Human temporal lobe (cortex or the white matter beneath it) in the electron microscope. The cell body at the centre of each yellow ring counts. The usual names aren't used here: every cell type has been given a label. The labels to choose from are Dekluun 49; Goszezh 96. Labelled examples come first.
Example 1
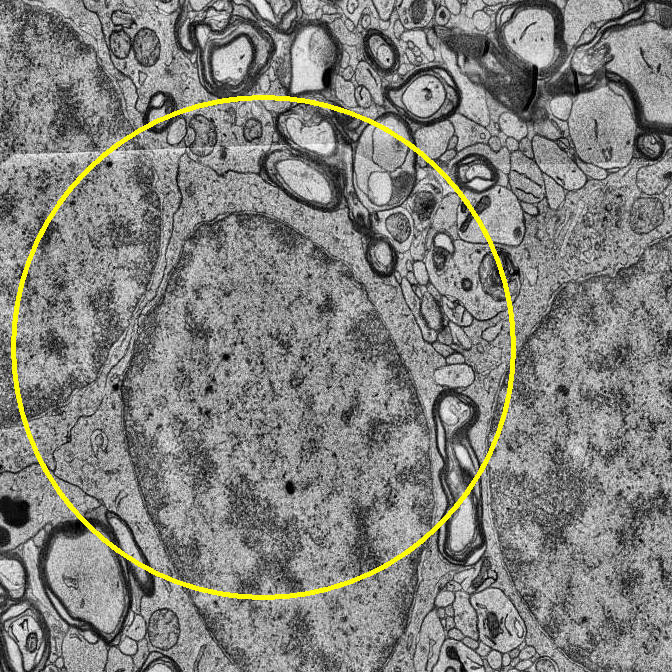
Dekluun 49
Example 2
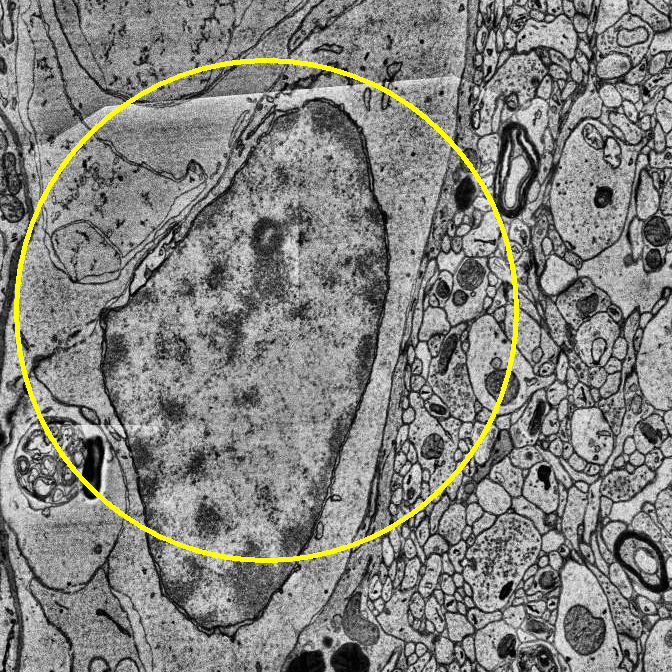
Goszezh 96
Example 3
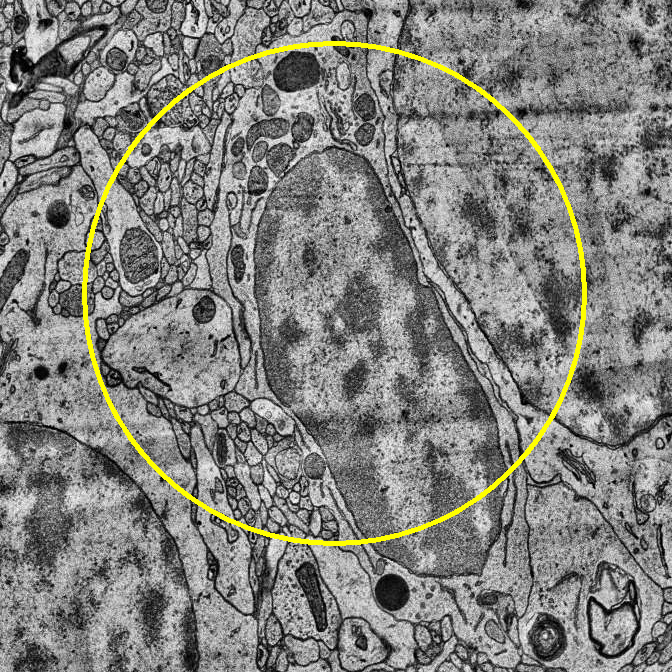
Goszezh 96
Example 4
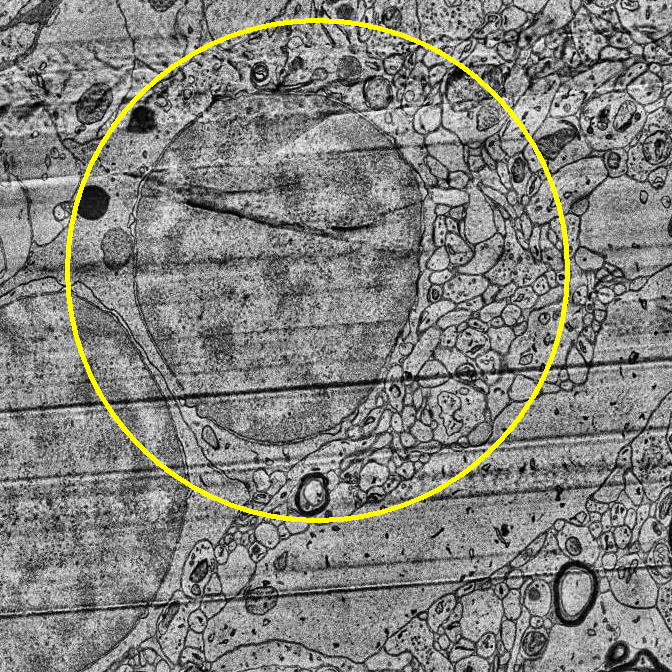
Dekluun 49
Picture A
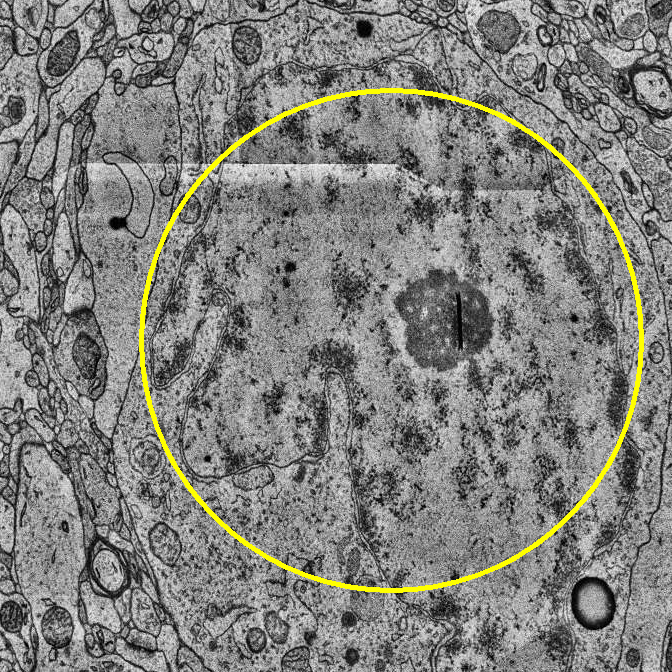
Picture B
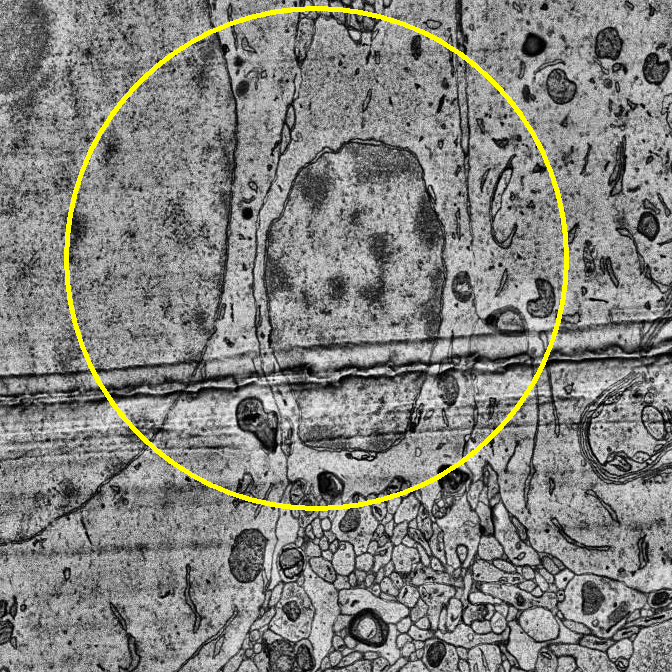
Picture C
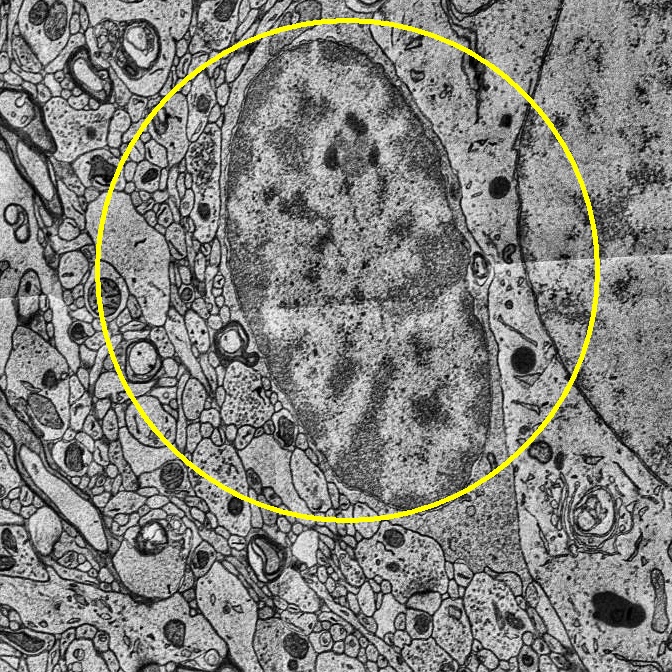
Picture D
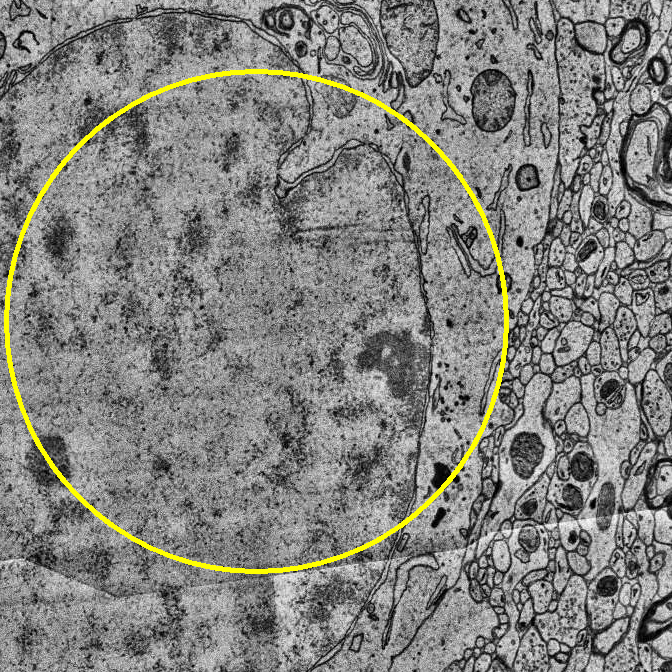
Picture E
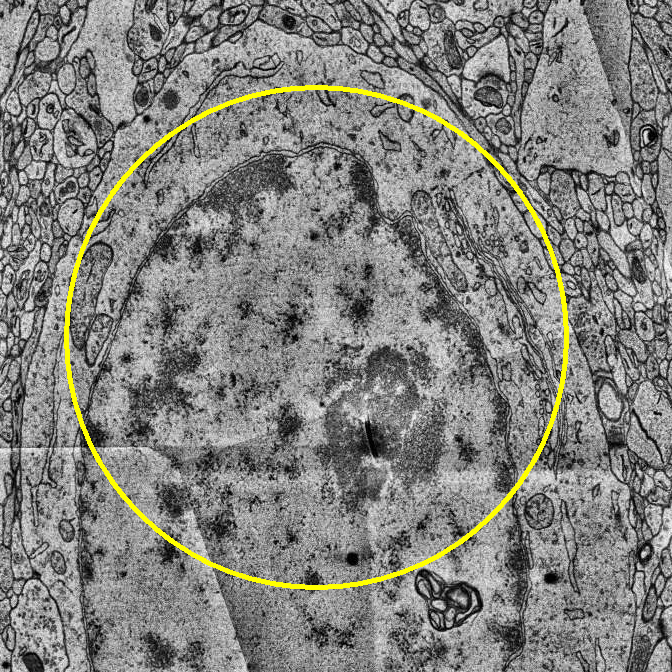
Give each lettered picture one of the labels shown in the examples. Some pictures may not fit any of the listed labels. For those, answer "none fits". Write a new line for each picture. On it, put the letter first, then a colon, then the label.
A: none fits
B: Goszezh 96
C: Dekluun 49
D: none fits
E: none fits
